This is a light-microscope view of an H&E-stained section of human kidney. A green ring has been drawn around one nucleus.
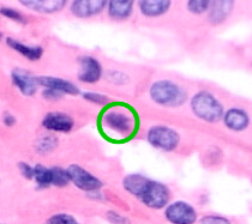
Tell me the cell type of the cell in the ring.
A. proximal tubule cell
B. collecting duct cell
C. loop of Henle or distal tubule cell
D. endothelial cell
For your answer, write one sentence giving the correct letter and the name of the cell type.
Option C describes the cell in the ring accurately as a loop of Henle or distal tubule cell.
